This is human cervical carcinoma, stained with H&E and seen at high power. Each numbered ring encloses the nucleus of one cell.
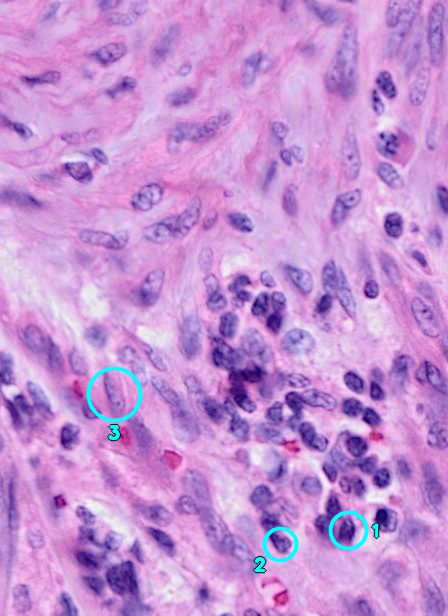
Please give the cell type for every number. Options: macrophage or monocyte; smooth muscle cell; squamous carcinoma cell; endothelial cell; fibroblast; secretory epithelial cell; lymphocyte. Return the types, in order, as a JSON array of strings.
["lymphocyte", "lymphocyte", "endothelial cell"]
